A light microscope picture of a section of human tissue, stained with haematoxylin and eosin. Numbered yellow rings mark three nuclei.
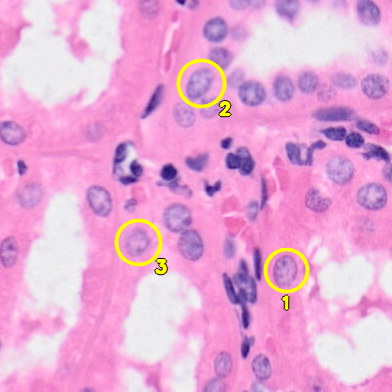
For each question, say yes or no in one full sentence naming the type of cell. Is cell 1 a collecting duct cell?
No, the marked cell 1 is not a collecting duct cell, being instead a proximal tubule cell.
